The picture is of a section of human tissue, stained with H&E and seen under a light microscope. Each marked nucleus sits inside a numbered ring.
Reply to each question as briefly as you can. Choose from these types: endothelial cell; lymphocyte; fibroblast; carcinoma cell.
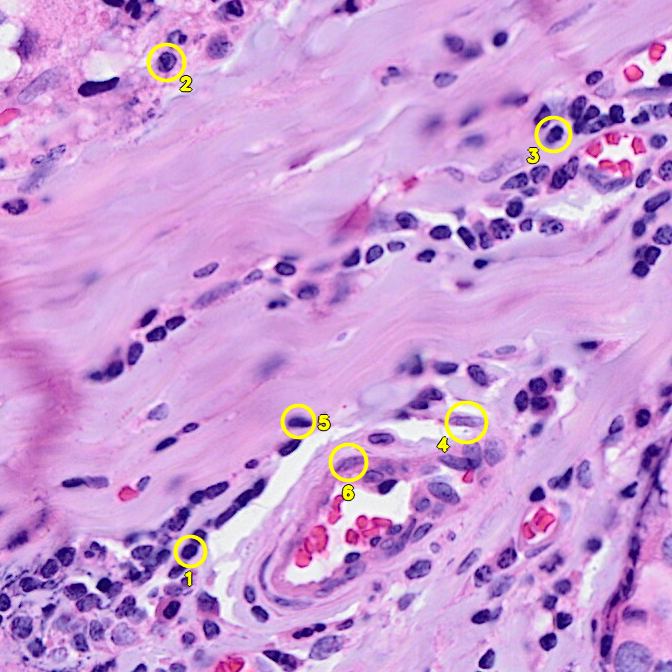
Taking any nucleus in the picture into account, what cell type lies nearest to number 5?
lymphocyte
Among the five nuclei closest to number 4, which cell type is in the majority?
endothelial cell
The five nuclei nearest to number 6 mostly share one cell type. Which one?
endothelial cell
